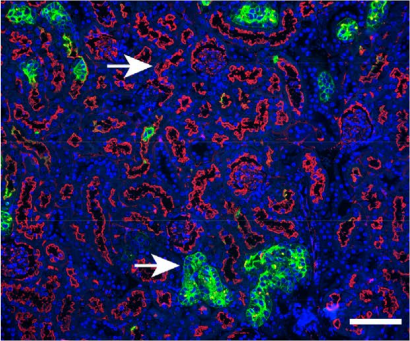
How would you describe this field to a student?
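Kidney cortex with many tubule cross-sections, most outlined by a bright red luminal lining, scattered among blue nuclei and several round glomeruli. A few groups of tubules, most prominently in the lower right part of the field, have epithelium filled with bright green signal. In these green tubules the red luminal lining is weak or patchy, and their lumens are narrowed or crowded with cells.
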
